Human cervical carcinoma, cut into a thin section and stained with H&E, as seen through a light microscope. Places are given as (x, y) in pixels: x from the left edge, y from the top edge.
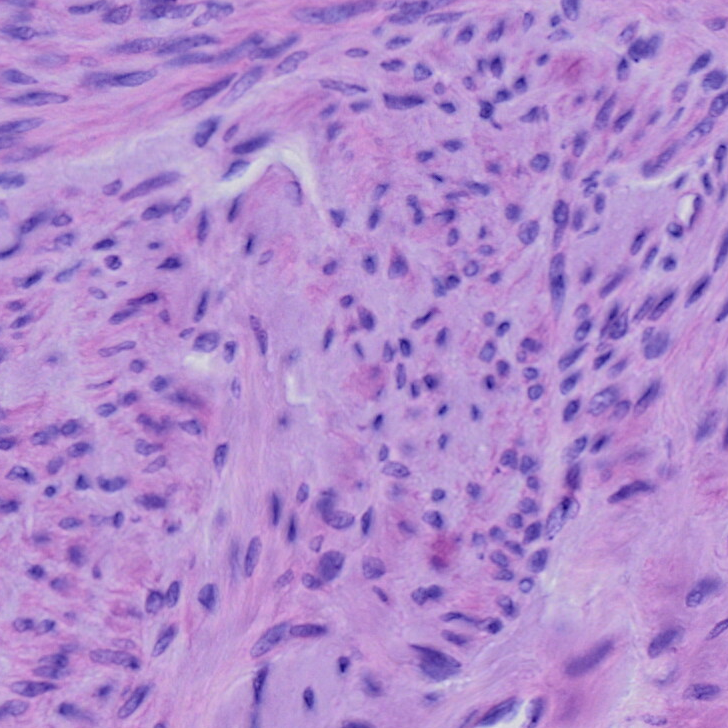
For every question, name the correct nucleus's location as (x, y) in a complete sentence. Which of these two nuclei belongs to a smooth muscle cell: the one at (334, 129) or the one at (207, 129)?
The nucleus at (334, 129) is the one of the two that belongs to a smooth muscle cell.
